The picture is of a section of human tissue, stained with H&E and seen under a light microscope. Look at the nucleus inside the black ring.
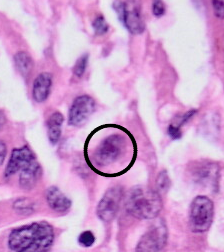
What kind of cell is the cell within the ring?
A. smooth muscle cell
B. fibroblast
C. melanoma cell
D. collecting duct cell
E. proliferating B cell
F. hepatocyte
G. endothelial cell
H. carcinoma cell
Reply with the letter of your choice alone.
C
